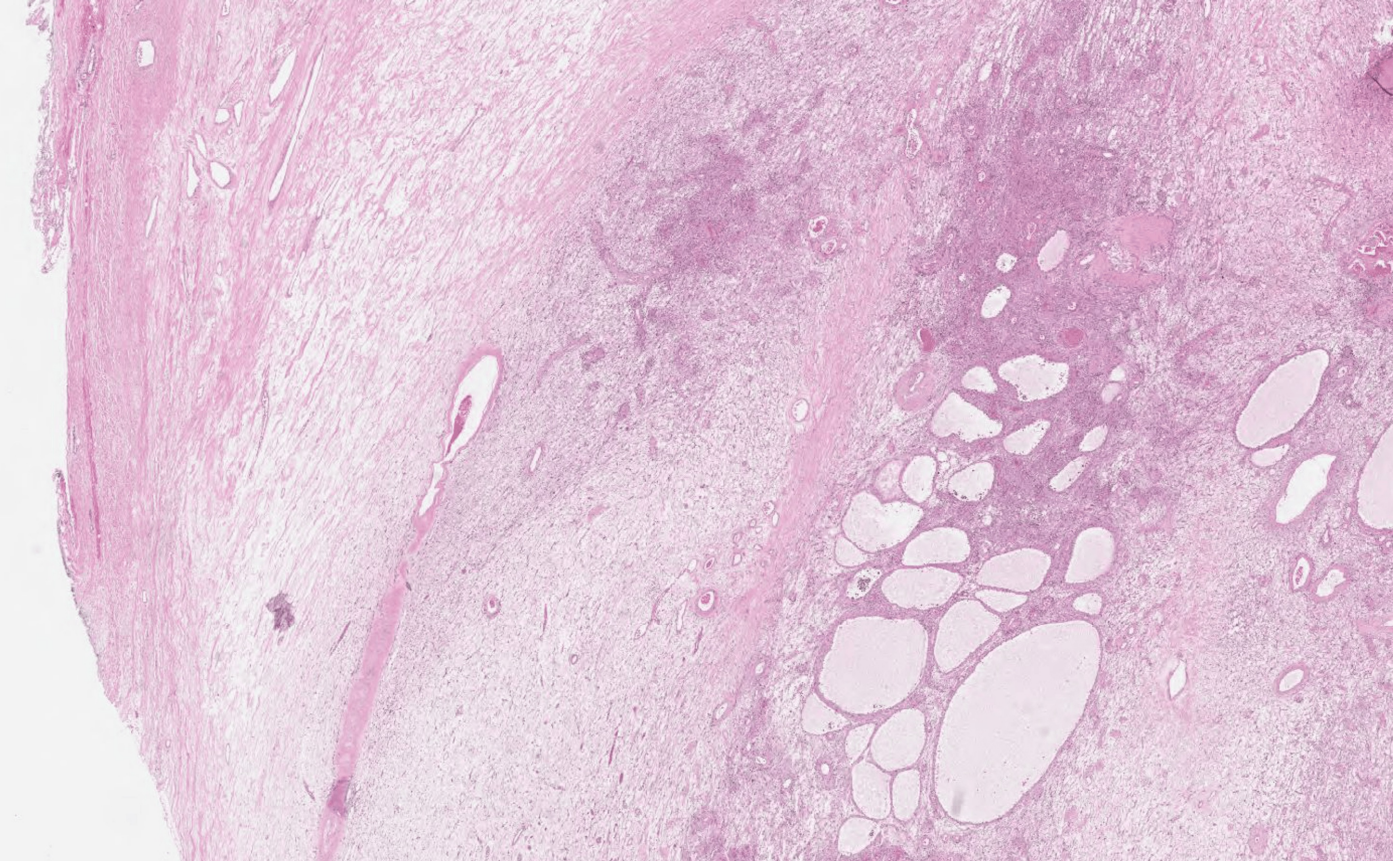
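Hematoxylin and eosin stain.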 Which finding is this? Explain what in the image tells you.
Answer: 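Hypo- and hypercellular zones. Pale, loosely textured areas alternate with denser, more purple areas. The darker purple areas are concentrated around the cystic spaces and in the upper middle.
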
